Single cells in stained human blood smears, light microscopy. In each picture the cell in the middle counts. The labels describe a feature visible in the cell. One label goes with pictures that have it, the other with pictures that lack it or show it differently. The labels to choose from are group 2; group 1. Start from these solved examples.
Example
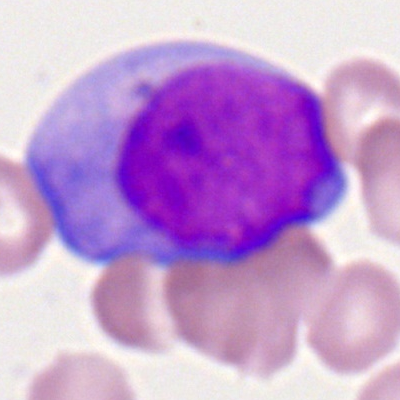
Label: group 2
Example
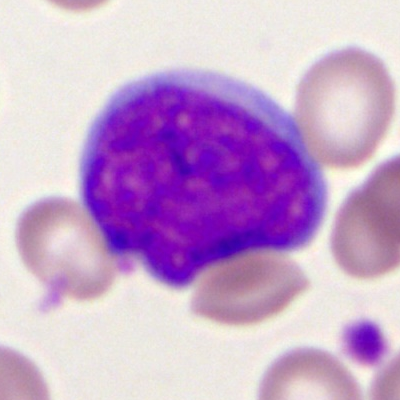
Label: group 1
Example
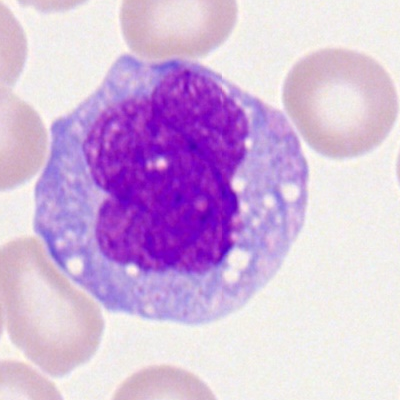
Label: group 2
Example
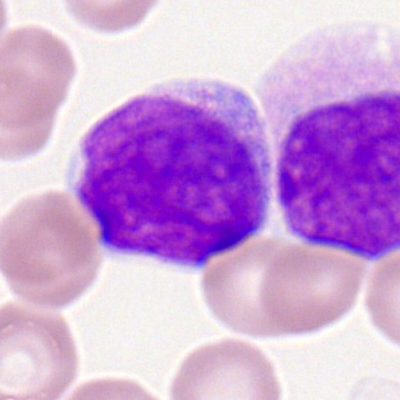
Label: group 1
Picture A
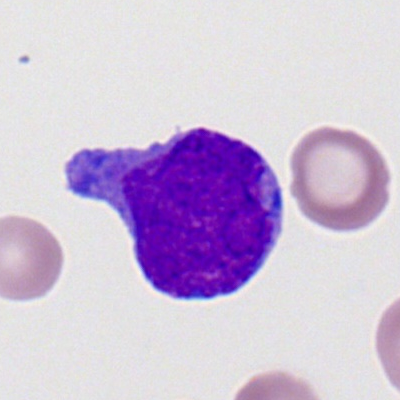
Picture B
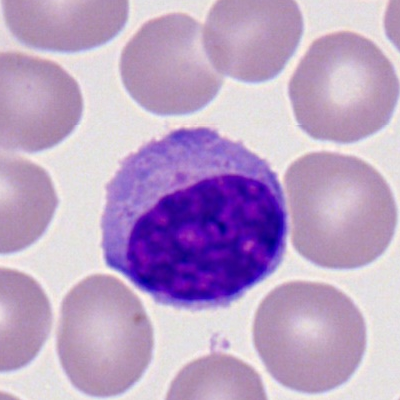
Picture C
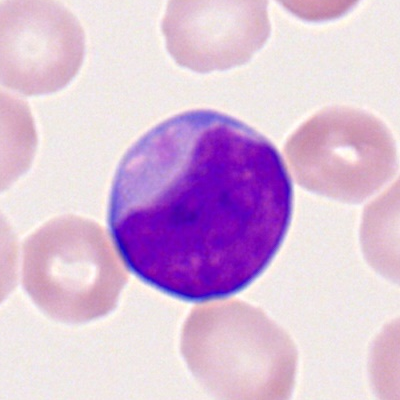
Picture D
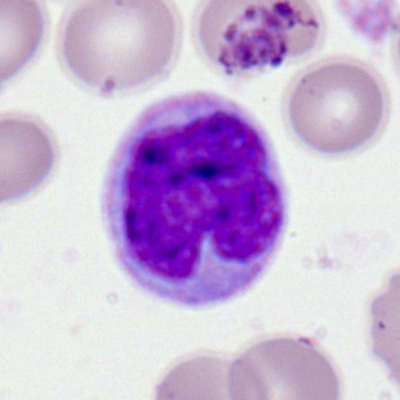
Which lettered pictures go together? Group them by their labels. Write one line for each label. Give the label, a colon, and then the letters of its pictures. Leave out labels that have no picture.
group 2: B
group 1: A, C, D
